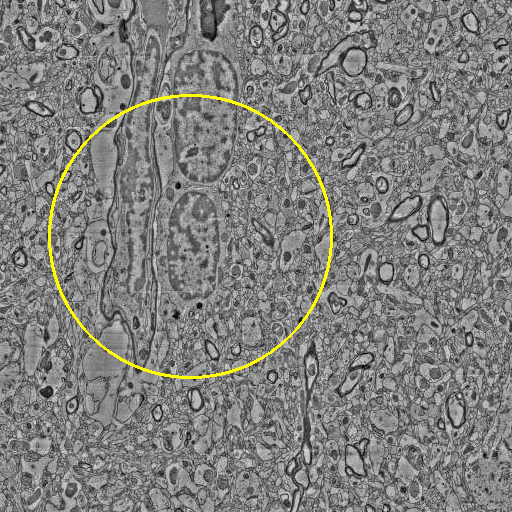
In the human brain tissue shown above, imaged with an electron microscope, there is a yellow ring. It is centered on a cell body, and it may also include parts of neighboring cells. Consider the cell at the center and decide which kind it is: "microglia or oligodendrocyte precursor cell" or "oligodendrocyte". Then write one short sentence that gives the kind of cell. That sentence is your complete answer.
This centered cell body is that of an oligodendrocyte.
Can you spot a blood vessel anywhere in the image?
Yes, a vessel shows somewhere in the image.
